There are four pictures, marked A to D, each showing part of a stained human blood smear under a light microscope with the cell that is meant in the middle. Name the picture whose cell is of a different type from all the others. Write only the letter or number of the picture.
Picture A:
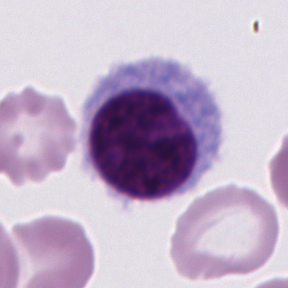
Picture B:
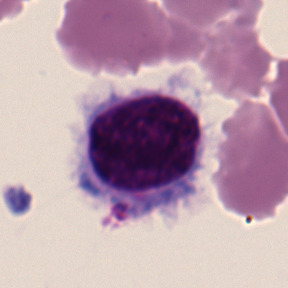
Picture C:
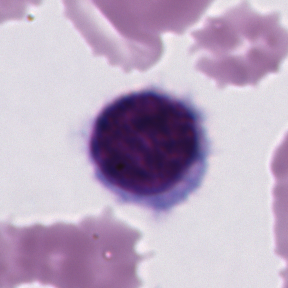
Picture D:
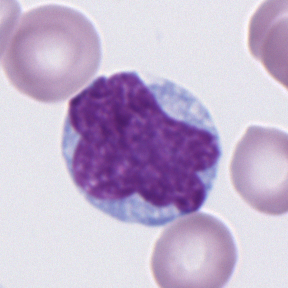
D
